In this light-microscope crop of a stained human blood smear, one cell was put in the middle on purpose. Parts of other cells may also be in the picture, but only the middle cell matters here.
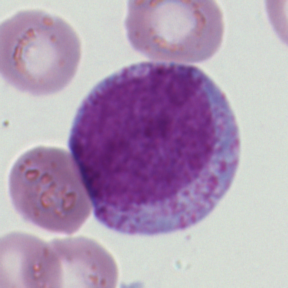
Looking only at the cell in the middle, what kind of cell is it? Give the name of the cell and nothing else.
promyelocyte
